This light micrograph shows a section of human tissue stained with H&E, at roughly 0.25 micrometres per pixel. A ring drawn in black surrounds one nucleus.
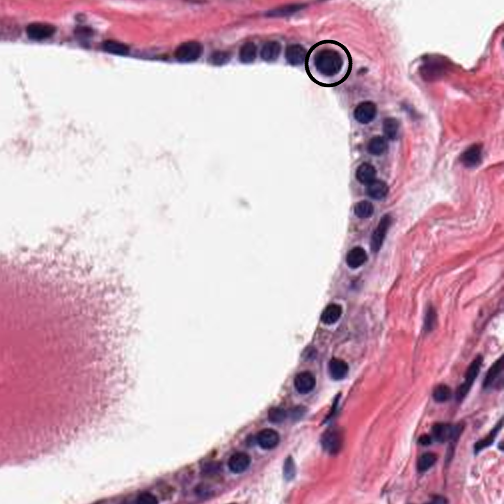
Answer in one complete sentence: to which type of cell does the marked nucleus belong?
The nucleus that the mark indicates belongs to a thyroid follicular cell.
